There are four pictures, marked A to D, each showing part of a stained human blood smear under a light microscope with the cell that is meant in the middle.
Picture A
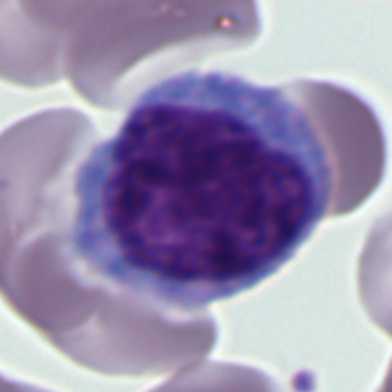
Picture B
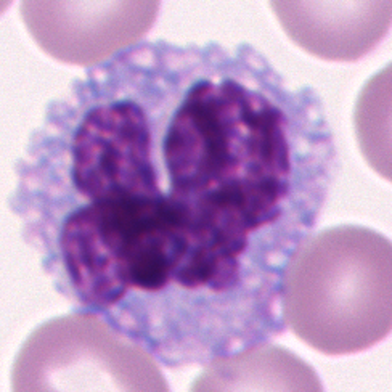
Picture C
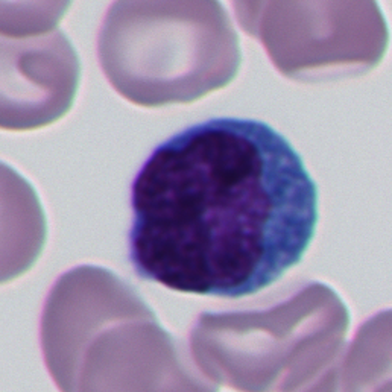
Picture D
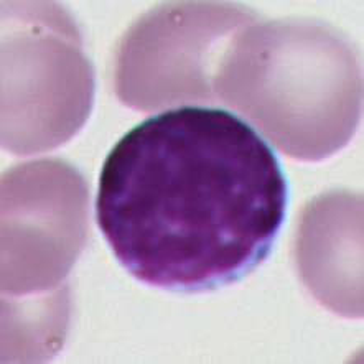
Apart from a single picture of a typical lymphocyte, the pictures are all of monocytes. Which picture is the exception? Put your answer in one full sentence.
It is picture D that shows the typical lymphocyte.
